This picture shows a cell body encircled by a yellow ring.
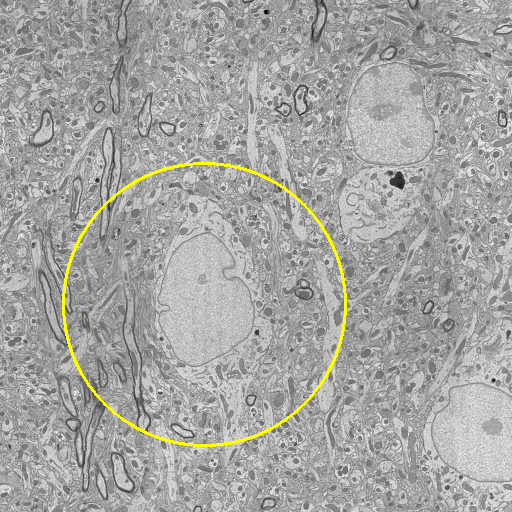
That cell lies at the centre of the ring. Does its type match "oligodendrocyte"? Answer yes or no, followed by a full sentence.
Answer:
No, in the picture, the ring surrounds a cell of another type at its centre.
